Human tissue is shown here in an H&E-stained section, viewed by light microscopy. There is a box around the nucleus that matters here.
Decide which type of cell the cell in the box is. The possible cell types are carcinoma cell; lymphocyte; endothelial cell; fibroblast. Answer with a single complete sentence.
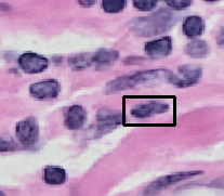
The cell in the box appears to be a lymphocyte.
